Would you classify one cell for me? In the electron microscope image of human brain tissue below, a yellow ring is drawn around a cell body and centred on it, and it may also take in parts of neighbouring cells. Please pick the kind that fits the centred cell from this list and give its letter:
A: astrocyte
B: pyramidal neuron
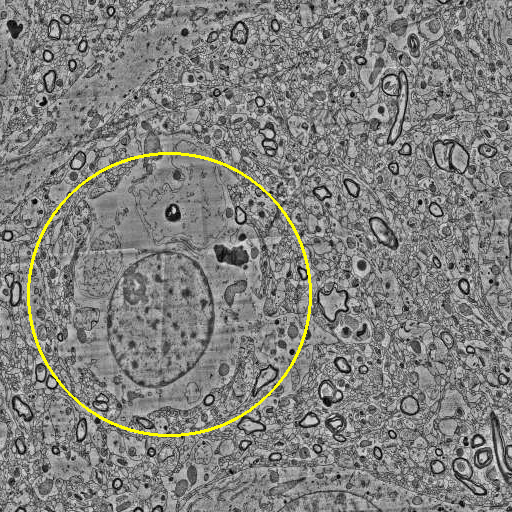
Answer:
A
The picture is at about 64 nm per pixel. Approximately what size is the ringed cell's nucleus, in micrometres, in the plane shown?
The nucleus has a long axis of about 9 micrometres and a short axis of about 7 micrometres in this plane.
